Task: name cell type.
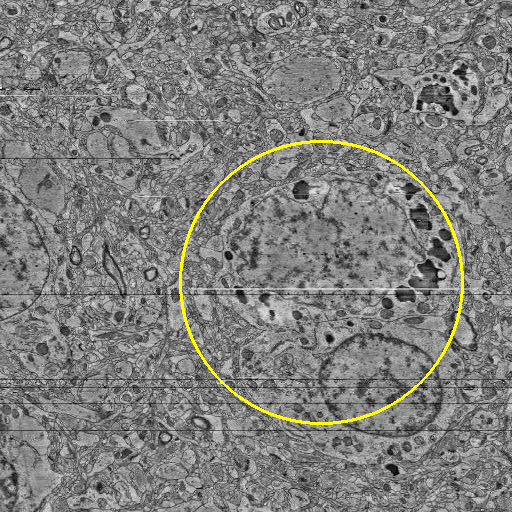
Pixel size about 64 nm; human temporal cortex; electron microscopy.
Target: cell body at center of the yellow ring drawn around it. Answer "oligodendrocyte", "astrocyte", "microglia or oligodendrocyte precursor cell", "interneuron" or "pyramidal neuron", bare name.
interneuron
